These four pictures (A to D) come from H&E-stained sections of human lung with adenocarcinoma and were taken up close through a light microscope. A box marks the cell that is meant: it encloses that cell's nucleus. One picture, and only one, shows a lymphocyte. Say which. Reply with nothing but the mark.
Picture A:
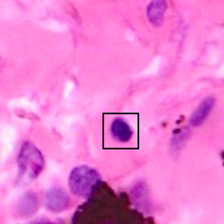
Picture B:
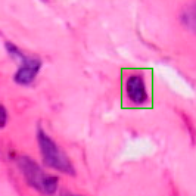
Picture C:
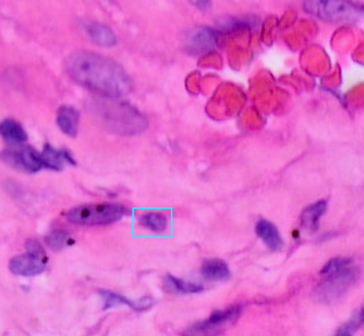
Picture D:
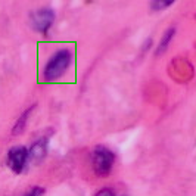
A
